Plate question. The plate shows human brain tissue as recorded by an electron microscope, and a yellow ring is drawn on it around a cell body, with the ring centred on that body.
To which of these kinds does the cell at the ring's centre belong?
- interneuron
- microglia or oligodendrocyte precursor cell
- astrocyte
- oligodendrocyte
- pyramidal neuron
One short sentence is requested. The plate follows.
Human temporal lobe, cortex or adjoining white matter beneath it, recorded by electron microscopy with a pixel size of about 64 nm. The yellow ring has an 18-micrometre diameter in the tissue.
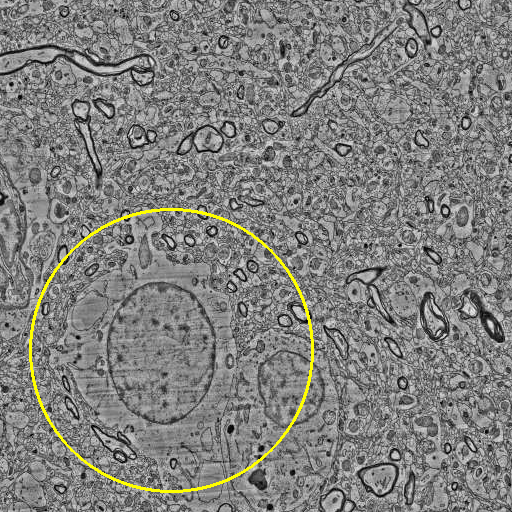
The cell at the ring's centre is an astrocyte.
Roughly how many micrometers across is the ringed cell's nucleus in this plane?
Approximately 9 by 7 micrometers in this plane.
